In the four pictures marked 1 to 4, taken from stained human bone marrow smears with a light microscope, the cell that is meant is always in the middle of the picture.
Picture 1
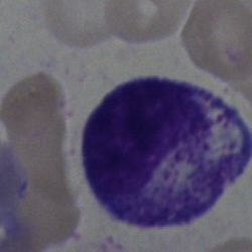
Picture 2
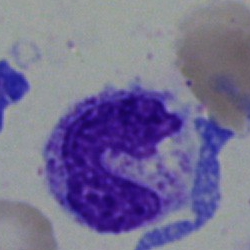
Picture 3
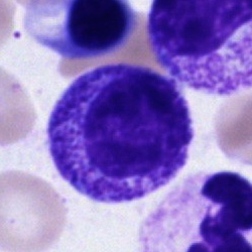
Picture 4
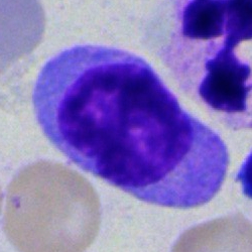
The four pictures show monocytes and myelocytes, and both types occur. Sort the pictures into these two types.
1: myelocyte
2: monocyte
3: myelocyte
4: monocyte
